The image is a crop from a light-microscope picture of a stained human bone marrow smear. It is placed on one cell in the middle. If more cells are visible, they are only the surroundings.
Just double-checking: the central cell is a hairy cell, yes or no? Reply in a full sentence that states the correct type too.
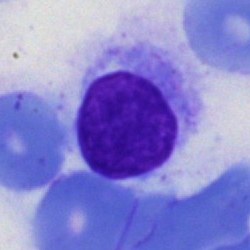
Yes, the cell at the heart of the crop is a hairy cell.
